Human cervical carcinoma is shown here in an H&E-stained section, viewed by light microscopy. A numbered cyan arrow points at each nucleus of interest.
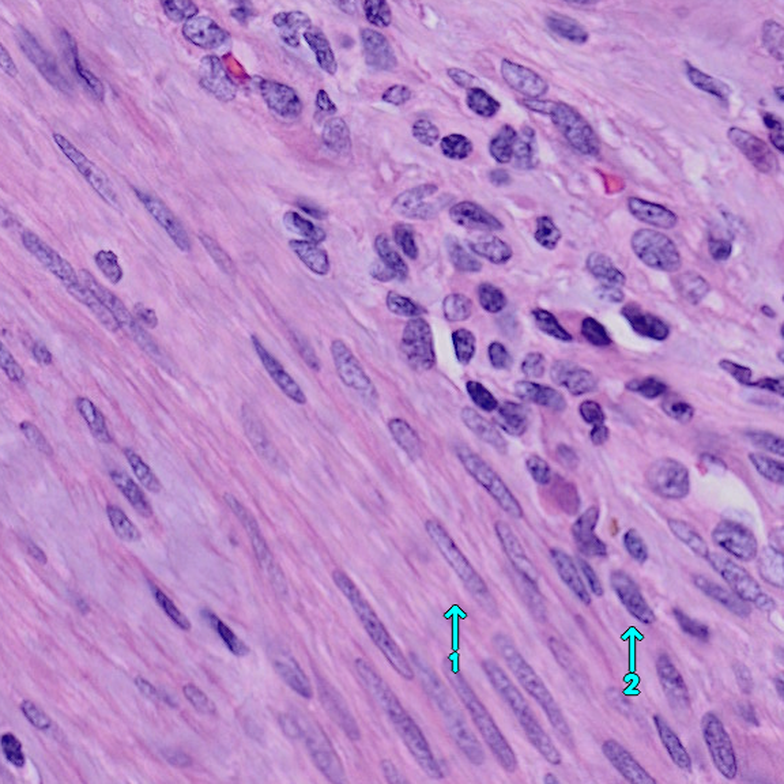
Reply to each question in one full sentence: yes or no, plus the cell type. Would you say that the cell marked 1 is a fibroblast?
No, the cell identified by number 1 is a smooth muscle cell, not a fibroblast.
